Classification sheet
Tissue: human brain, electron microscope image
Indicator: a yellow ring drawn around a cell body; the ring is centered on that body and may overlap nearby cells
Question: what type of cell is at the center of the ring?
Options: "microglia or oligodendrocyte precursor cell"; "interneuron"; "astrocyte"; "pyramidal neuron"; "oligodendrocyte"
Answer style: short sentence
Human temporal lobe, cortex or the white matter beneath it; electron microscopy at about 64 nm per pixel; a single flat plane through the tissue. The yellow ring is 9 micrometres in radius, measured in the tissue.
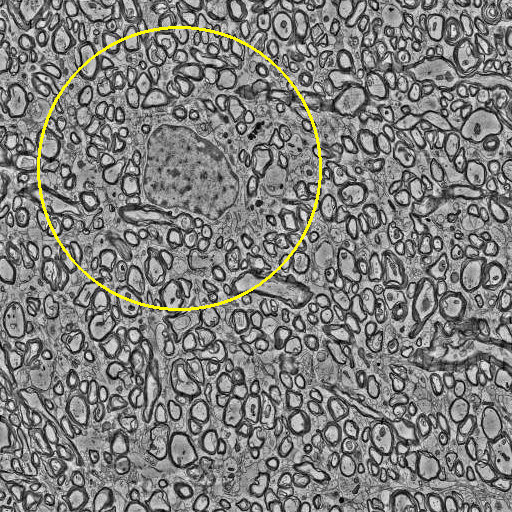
At the ring's center is a microglial cell or oligodendrocyte precursor cell.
